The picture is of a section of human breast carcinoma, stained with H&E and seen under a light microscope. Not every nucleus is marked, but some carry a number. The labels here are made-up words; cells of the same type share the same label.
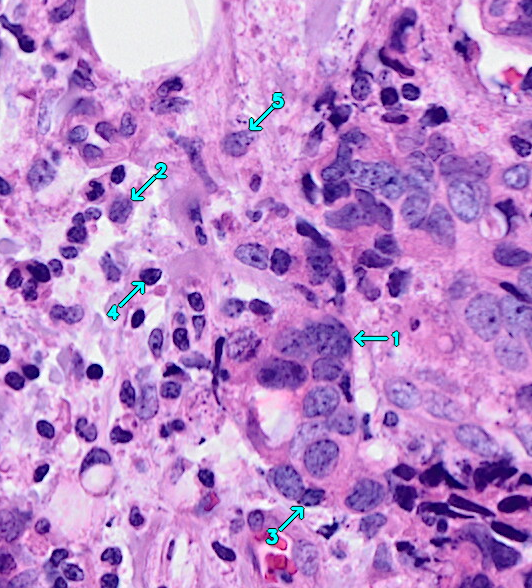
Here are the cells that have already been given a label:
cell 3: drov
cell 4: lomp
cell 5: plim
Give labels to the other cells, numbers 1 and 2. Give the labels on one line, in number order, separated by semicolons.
drov; plim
